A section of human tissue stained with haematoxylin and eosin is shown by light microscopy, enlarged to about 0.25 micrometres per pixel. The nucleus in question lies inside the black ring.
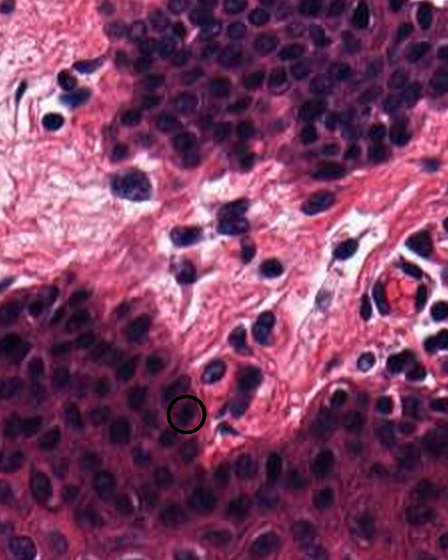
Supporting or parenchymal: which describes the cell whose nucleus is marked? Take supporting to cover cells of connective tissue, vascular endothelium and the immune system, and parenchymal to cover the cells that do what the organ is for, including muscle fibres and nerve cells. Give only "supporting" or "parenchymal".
parenchymal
